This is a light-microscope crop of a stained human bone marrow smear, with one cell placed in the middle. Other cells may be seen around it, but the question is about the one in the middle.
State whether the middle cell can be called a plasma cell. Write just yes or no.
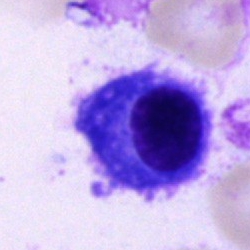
yes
